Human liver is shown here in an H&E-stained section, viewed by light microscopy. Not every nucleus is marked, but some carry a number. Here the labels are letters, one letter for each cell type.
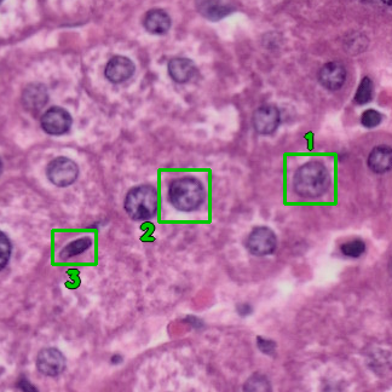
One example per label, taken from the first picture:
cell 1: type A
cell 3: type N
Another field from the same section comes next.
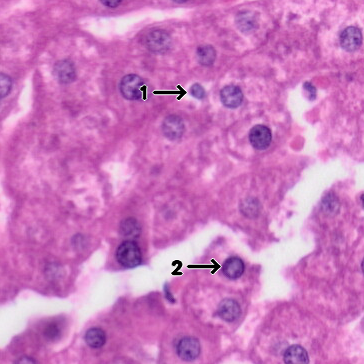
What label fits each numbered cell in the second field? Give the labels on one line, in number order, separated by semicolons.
type N; type A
